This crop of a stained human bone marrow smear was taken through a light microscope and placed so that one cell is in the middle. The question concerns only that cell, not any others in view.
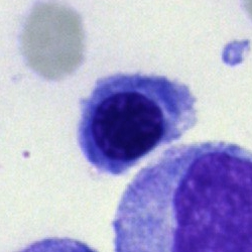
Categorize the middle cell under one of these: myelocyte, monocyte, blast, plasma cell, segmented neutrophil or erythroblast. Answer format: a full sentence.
The middle of this crop is occupied by an erythroblast.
